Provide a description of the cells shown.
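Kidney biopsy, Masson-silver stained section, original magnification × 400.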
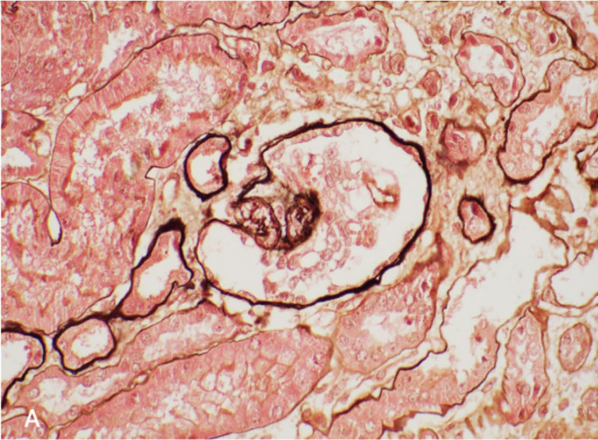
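A glomerulus sits in the middle of renal cortex, surrounded by tubules with pink-brown epithelium and black-outlined basement membranes. Its capillary tuft is small, shrunken and darkly stained, pushed to one side within the capsule. A wide, largely empty urinary space separates the collapsed tuft from the thick black capsular outline. Pale cells line the inner side of the capsule and sit near the tuft. Small vessels with black-stained walls lie beside the glomerulus.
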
